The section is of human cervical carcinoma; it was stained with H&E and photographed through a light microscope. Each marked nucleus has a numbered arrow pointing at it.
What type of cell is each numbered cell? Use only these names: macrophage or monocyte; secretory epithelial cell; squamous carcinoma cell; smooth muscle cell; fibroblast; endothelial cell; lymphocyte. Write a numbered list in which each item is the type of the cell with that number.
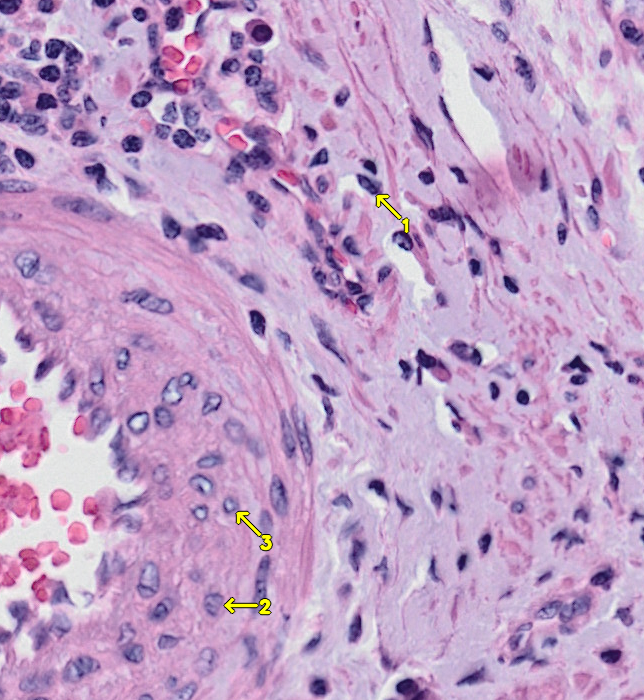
1. lymphocyte
2. smooth muscle cell
3. smooth muscle cell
